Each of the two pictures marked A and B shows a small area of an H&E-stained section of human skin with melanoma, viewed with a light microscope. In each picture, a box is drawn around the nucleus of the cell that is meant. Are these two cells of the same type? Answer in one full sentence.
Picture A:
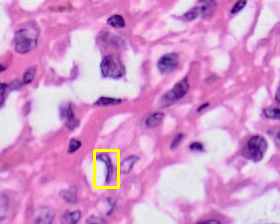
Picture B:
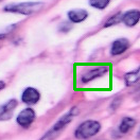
Yes; the cells in both pictures are endothelial cells.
